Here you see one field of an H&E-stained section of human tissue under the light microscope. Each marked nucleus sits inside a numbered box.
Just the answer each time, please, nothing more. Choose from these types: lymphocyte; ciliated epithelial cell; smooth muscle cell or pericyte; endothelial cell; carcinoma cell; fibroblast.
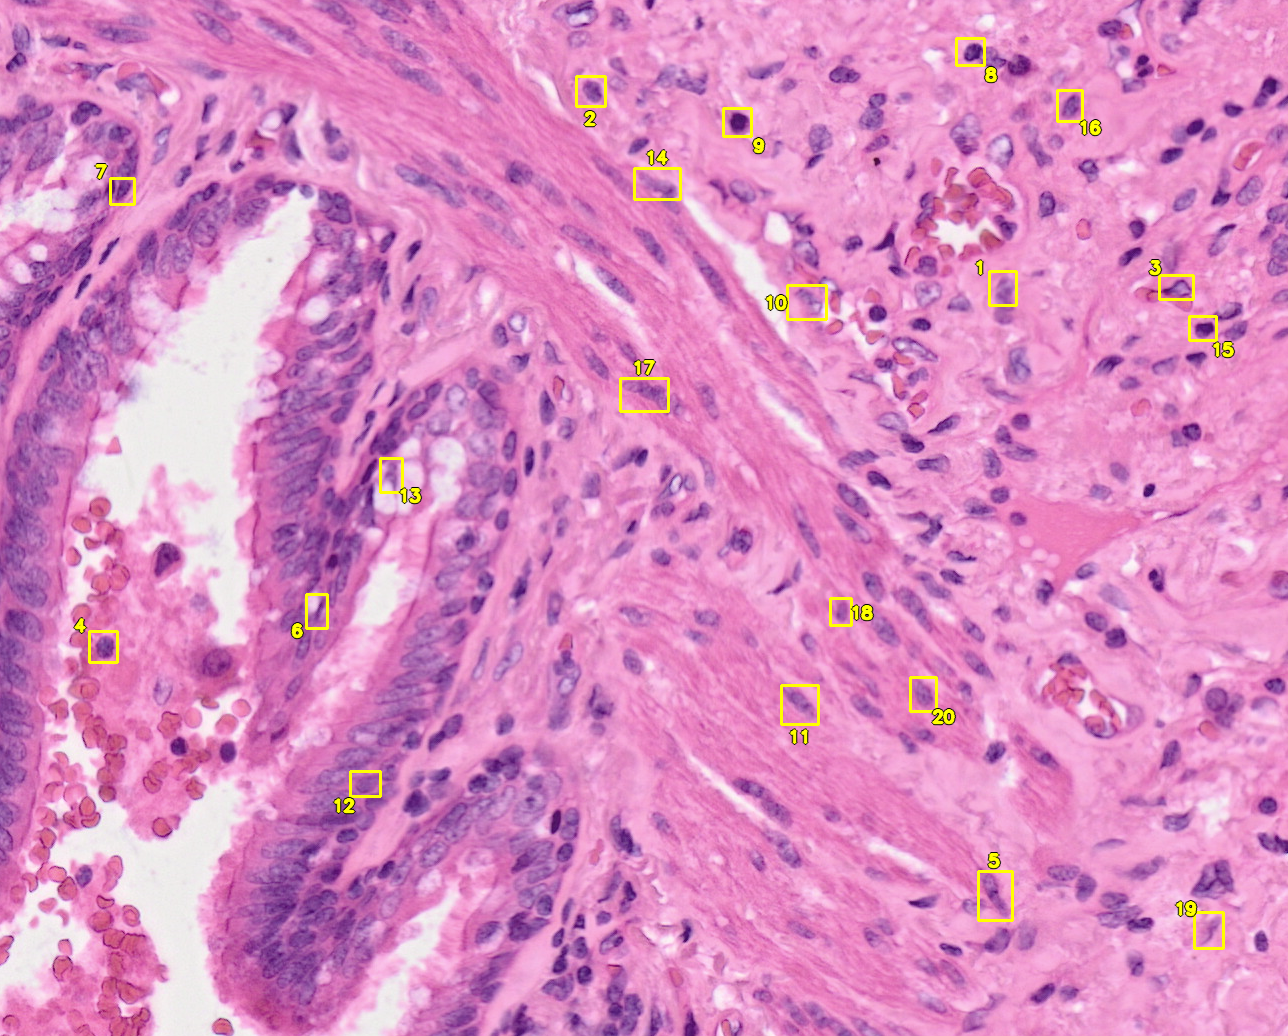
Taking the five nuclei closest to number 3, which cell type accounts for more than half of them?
fibroblast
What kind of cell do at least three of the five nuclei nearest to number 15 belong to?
fibroblast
